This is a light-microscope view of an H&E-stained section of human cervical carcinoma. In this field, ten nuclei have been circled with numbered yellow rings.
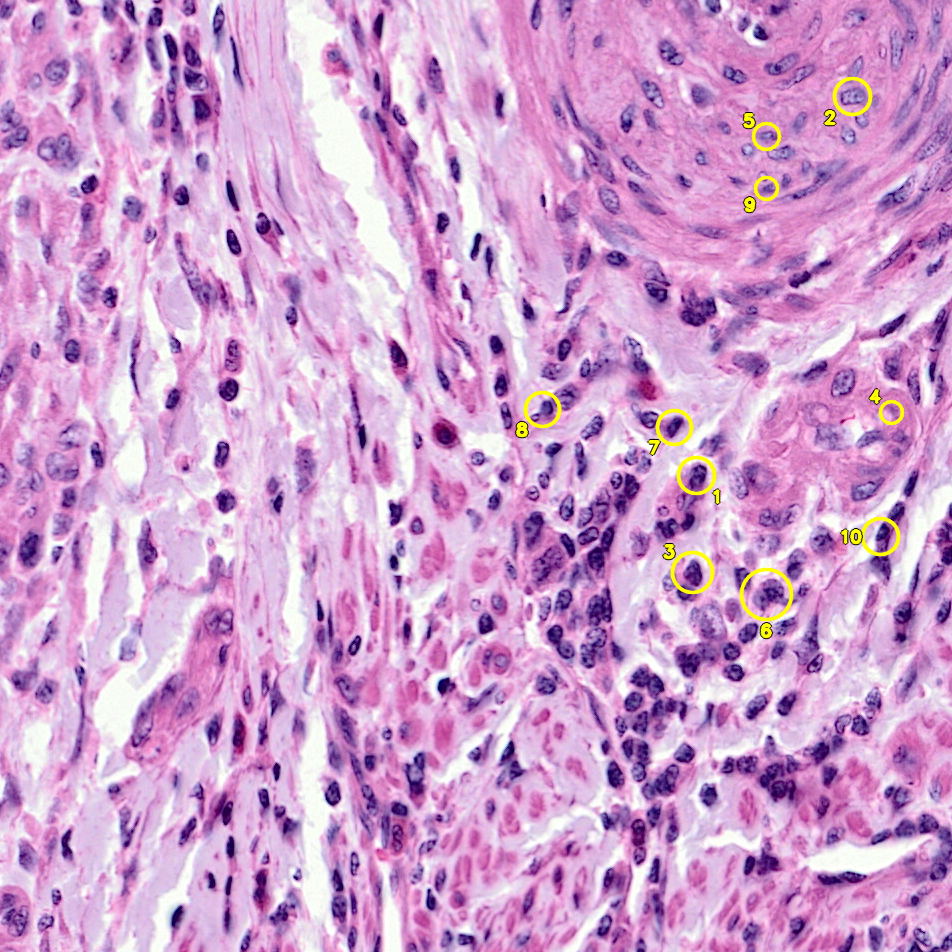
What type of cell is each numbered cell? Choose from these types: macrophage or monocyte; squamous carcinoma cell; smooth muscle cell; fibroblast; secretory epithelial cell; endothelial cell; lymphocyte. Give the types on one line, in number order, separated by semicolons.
lymphocyte; smooth muscle cell; lymphocyte; endothelial cell; smooth muscle cell; lymphocyte; lymphocyte; lymphocyte; smooth muscle cell; lymphocyte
